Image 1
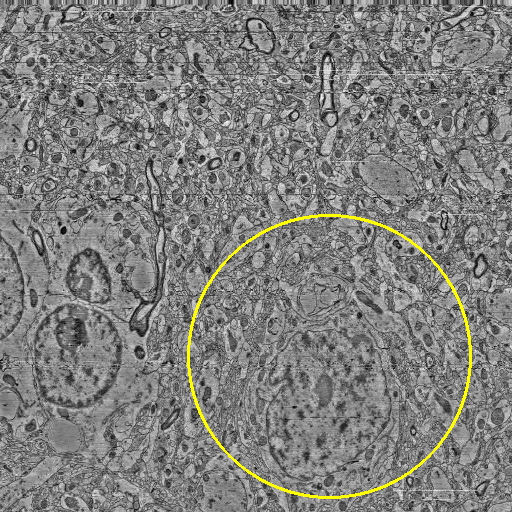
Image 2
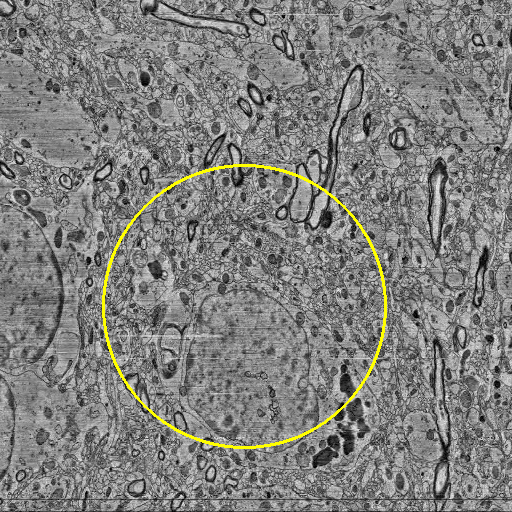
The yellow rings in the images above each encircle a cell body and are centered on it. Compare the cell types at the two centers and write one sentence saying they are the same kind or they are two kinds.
Taken together, the two cells at the ring centers are the same kind.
